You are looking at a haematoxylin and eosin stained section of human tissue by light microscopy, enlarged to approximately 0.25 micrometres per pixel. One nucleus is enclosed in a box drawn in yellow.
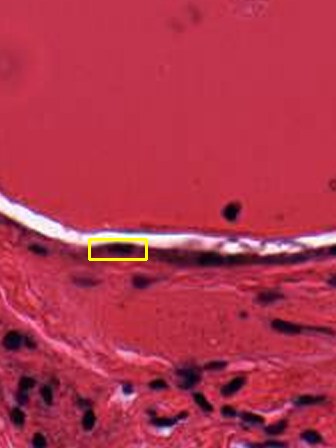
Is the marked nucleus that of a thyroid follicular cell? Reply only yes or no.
yes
